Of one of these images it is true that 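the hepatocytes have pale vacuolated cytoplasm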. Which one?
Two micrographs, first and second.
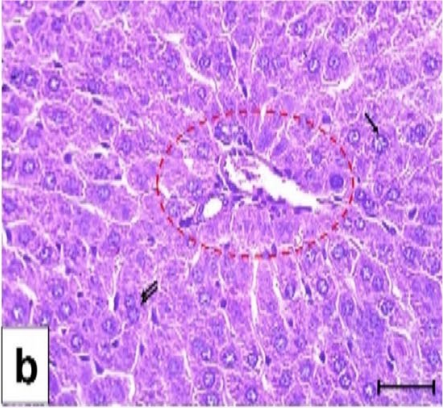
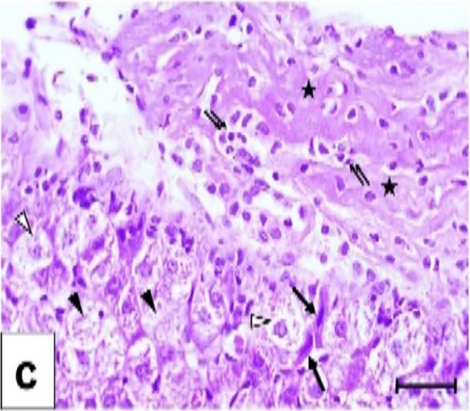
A: the second image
